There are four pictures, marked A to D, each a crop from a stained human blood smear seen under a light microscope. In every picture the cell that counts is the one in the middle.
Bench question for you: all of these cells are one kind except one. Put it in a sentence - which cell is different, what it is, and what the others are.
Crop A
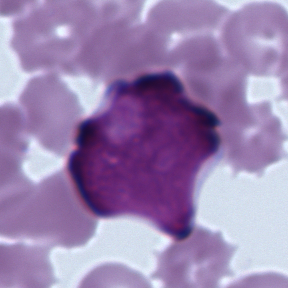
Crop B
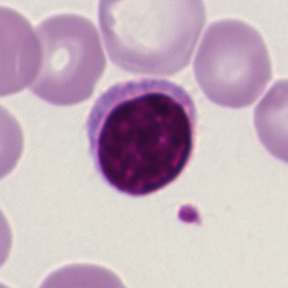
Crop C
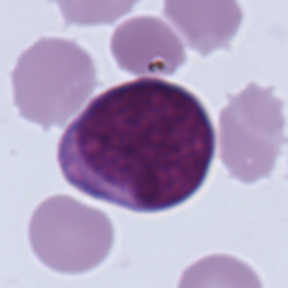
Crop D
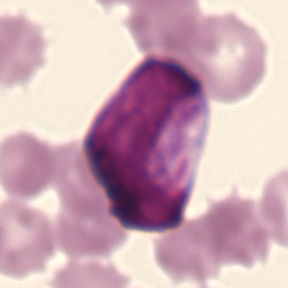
The different one is crop B, which is a large granular lymphocyte; the rest all show myeloblasts.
